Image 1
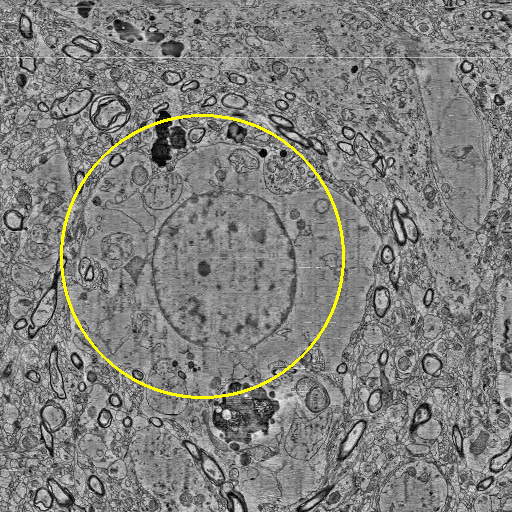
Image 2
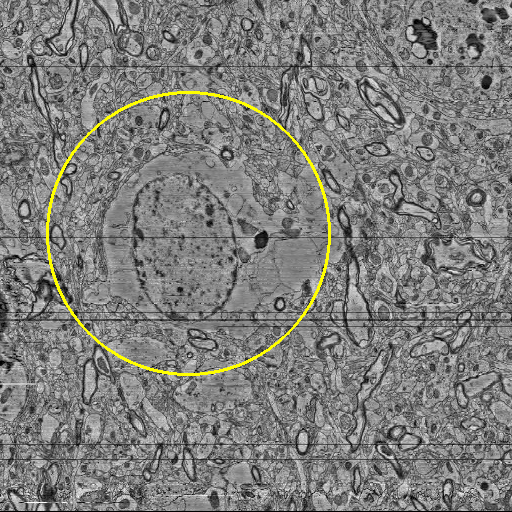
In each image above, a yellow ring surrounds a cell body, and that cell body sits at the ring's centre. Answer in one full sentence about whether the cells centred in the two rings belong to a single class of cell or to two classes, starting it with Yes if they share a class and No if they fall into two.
Yes, the cells centred in the two yellow rings belong to a single class of cell.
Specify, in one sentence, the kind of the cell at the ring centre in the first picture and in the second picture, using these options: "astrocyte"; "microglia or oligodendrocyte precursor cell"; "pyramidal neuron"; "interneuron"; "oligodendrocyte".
Each one of the two ringed cells is an astrocyte.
